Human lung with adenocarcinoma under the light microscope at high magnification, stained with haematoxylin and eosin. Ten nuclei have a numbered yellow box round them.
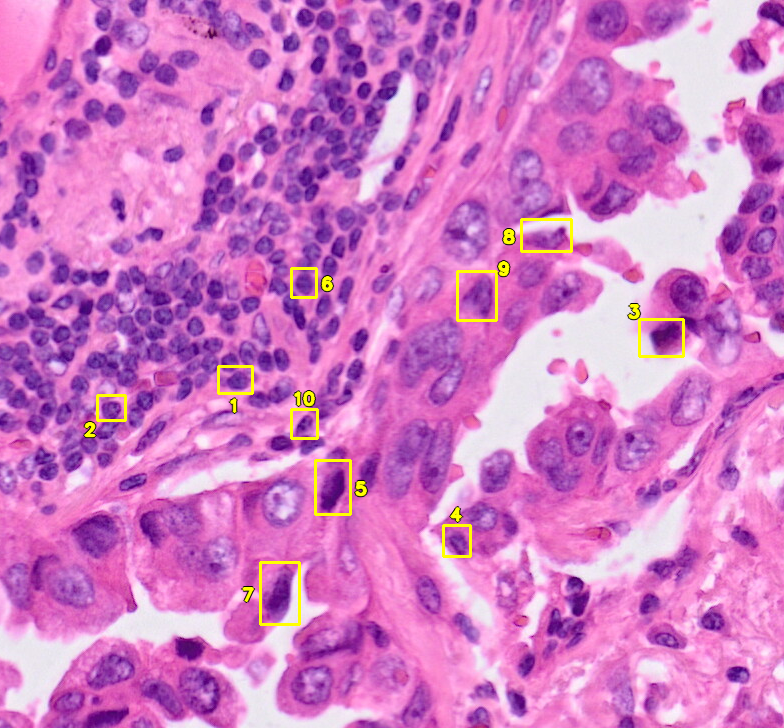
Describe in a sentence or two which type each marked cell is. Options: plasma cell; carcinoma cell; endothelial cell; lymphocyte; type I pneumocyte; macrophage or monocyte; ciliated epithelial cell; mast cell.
Cell 1 is a lymphocyte, cell 2 is a lymphocyte, cell 3 is a carcinoma cell, cell 4 is a carcinoma cell, cell 5 is a carcinoma cell, cell 6 is a lymphocyte, cell 7 is a carcinoma cell, cell 8 is a carcinoma cell, cell 9 is a carcinoma cell and cell 10 is a lymphocyte.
